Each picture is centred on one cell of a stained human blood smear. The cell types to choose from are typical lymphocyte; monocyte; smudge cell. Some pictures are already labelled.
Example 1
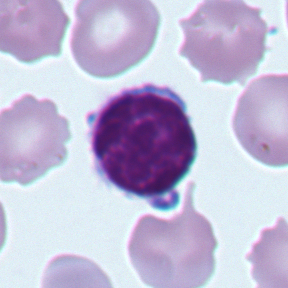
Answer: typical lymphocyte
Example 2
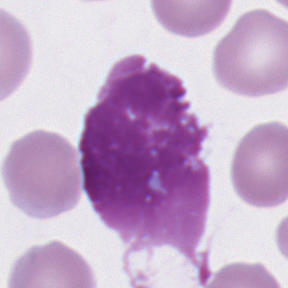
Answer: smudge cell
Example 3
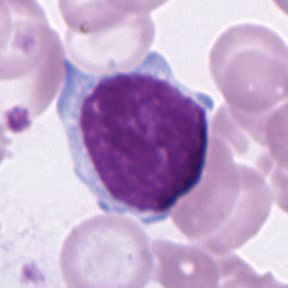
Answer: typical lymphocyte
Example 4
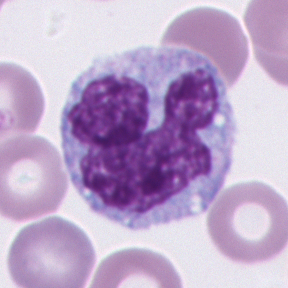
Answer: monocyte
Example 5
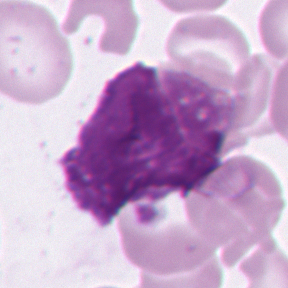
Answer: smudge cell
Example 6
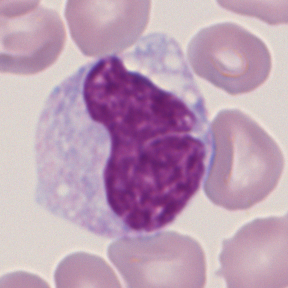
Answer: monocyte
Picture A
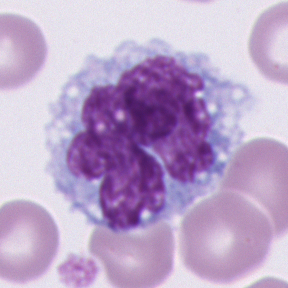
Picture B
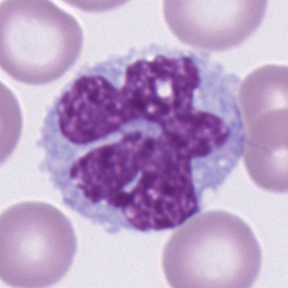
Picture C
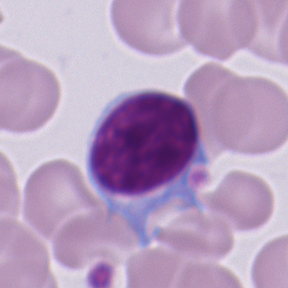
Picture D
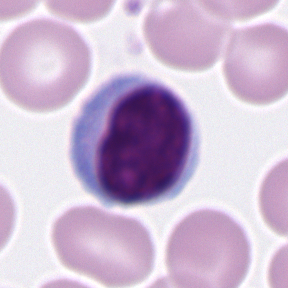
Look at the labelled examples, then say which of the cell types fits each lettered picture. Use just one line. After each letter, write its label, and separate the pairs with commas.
A monocyte, B monocyte, C typical lymphocyte, D typical lymphocyte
